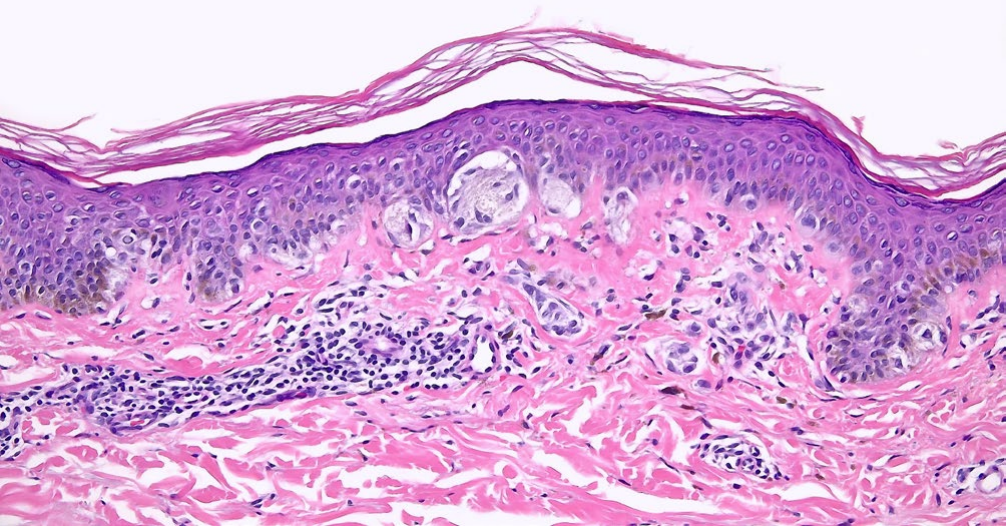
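Skin with a thin basket-weave cornified layer over the epidermis, which holds nests and single large epithelioid cells with pale to clear cytoplasm and enlarged, somewhat dark nuclei. The nests lie along the junction with the dermis and several pale cells and nests sit higher in the epidermis, scattered among the keratinocytes. In the upper dermis, which is pink and partly fibrotic, small clusters of similar cells lie together with brown pigment granules. A band of small dark lymphocytes runs in the dermis beneath, and brown pigment is also seen in the basal epidermis at the sides.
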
